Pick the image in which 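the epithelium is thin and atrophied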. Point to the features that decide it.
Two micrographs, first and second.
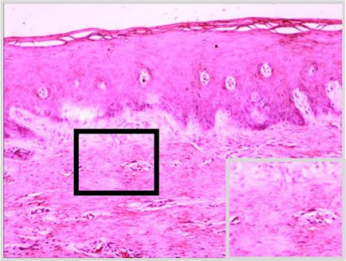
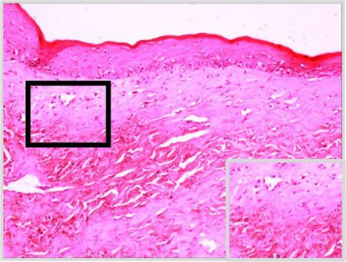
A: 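The second image. Second image: a thin epithelial band with a flat lower border over dense connective tissue. First image: a thick epithelium with connective tissue papillae projecting into it.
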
